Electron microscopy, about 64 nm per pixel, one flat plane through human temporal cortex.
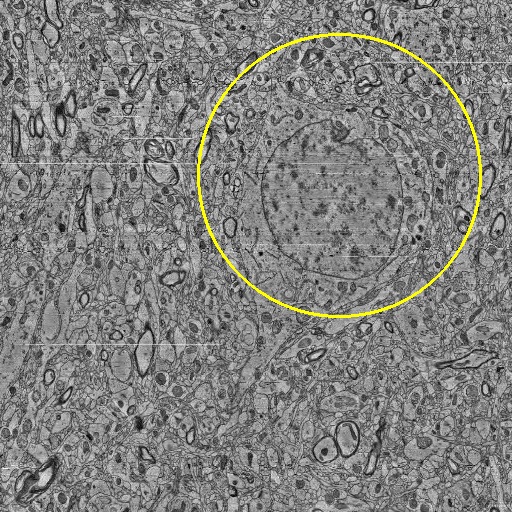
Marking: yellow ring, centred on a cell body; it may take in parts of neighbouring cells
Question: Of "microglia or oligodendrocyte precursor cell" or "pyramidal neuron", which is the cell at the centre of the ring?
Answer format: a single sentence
The ring surrounds the body of a pyramidal neuron.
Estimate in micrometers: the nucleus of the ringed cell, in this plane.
Roughly 10 micrometers across, in this plane.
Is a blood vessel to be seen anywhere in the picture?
No, no blood vessel can be seen.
